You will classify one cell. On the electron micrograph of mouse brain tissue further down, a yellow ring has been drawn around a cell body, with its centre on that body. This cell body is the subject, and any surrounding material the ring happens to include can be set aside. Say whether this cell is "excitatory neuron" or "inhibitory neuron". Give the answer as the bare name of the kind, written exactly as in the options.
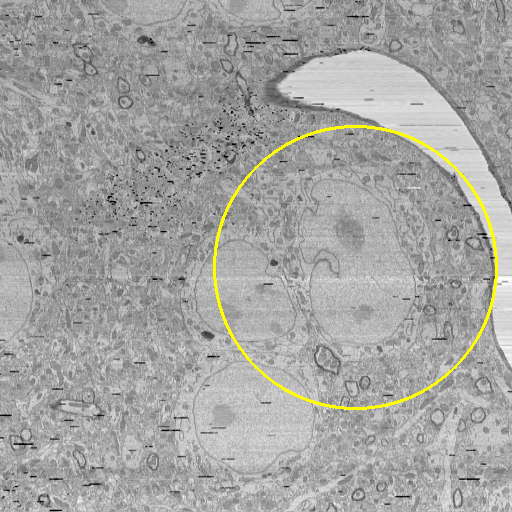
inhibitory neuron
